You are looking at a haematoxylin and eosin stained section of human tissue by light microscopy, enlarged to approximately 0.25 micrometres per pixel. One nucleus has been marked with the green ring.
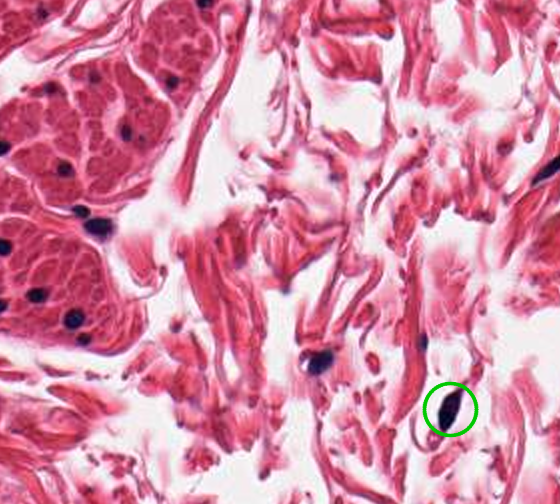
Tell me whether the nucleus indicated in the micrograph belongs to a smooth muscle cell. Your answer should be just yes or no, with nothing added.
no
